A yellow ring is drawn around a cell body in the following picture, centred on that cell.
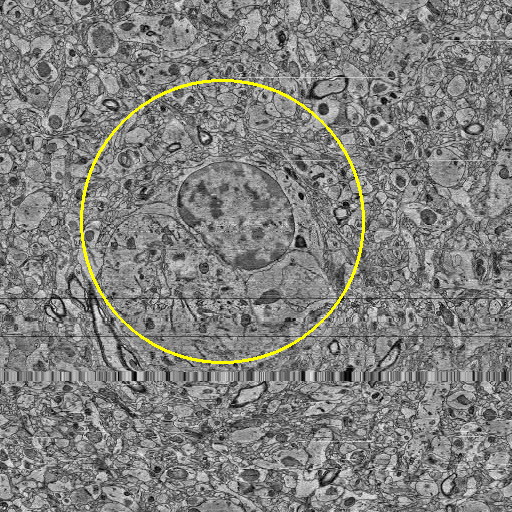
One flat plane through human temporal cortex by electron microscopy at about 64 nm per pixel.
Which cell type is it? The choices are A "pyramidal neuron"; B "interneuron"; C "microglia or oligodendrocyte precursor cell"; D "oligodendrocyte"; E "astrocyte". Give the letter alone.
C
